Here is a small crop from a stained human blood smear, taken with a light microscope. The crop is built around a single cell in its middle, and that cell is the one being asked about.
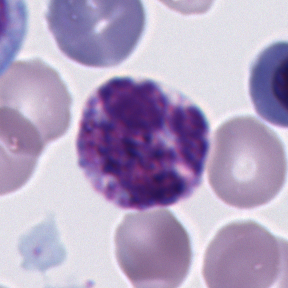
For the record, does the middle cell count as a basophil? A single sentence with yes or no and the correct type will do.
Yes, a basophil is the cell positioned in the middle of the field.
